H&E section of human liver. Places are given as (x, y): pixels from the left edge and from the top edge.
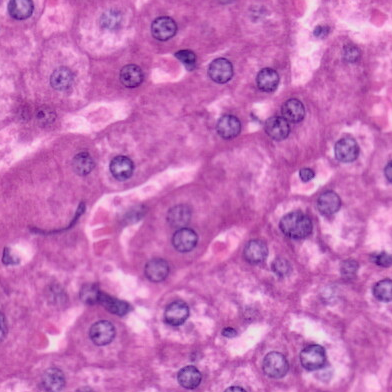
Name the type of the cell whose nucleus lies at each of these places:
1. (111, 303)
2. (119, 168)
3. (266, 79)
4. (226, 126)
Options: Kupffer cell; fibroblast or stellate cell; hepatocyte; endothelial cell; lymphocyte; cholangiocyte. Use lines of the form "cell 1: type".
cell 1: Kupffer cell
cell 2: hepatocyte
cell 3: hepatocyte
cell 4: hepatocyte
